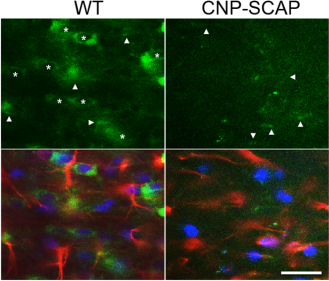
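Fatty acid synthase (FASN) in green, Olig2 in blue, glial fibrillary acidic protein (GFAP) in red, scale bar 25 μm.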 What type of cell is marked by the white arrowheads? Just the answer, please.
Astrocytes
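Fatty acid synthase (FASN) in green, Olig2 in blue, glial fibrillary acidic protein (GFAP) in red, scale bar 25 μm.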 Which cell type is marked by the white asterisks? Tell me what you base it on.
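Oligodendrocytes. In the merged image below, these positions coincide with blue nuclei.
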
